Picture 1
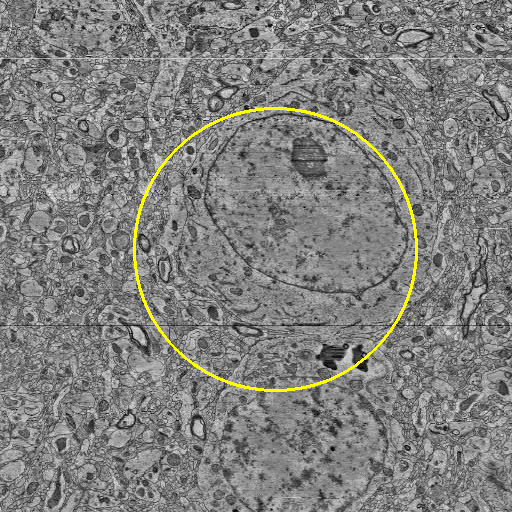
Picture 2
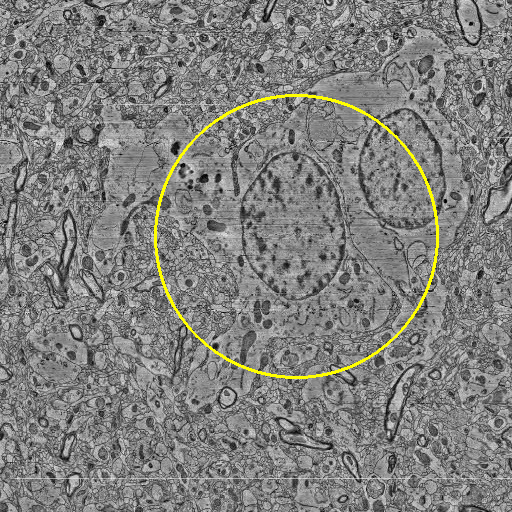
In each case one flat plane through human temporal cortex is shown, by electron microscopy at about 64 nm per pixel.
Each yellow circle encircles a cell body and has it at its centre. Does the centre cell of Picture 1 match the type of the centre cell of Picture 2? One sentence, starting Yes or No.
No, the cell centred in Picture 1 and the one in Picture 2 have separate types.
